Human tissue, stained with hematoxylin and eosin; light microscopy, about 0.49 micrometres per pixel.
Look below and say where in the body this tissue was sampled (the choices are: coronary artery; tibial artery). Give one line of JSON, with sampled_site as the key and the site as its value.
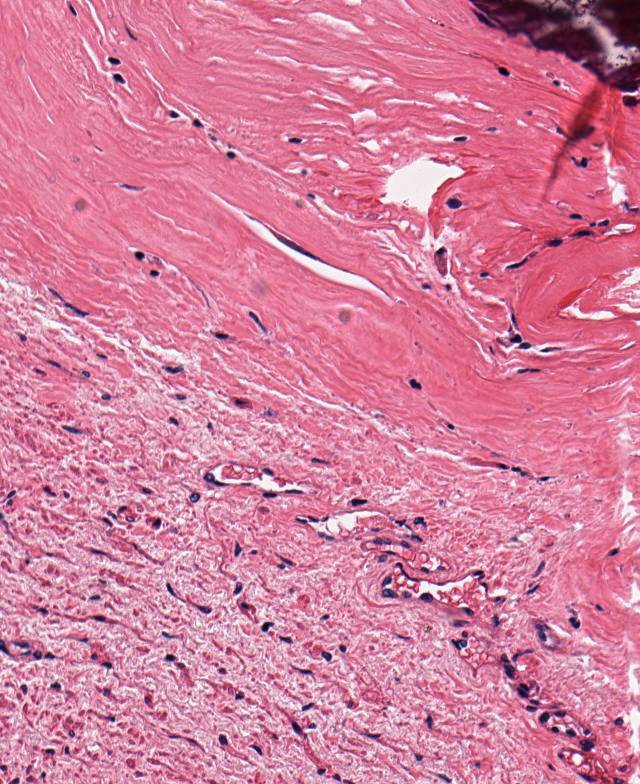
{"sampled_site": "coronary artery"}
